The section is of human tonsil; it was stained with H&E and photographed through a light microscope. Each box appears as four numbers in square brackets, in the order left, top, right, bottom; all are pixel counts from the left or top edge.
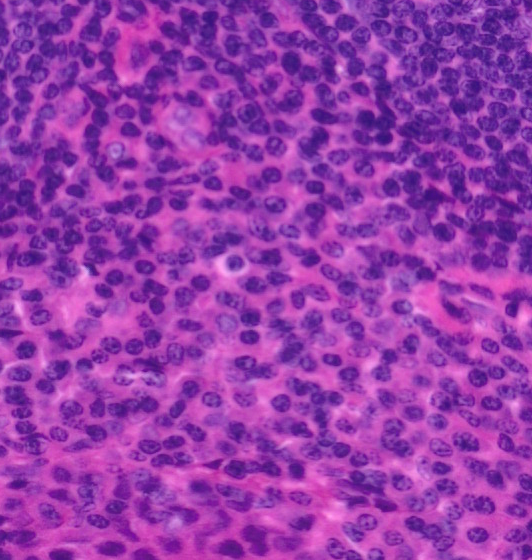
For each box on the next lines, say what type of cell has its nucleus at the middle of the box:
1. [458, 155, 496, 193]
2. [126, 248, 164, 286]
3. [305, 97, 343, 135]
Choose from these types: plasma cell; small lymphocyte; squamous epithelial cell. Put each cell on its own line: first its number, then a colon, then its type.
1: small lymphocyte
2: plasma cell
3: small lymphocyte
